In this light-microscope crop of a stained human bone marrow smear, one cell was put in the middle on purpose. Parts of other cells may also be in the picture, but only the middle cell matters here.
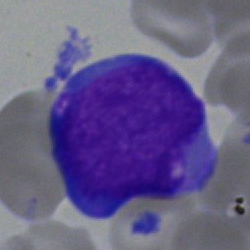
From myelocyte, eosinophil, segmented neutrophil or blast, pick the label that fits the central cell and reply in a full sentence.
The centered cell in this crop is a blast.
